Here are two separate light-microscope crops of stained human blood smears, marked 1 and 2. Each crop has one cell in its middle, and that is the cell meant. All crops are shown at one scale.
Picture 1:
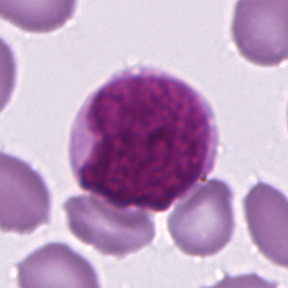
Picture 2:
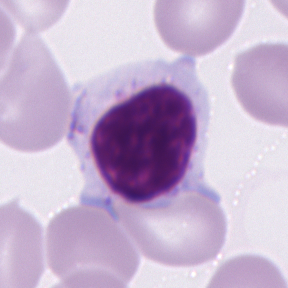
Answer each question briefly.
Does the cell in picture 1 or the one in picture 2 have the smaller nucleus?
2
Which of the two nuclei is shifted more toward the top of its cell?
1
